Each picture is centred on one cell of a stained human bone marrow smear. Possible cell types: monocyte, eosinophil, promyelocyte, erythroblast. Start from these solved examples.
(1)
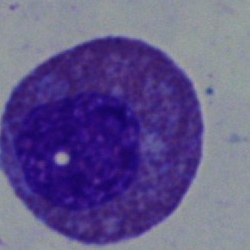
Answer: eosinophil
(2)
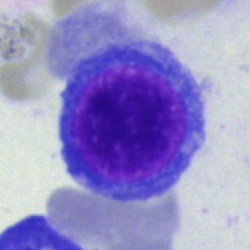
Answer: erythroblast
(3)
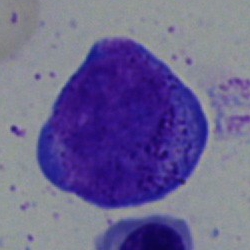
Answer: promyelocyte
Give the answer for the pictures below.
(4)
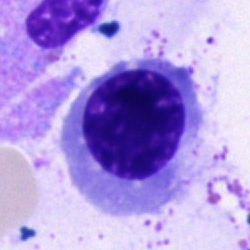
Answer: erythroblast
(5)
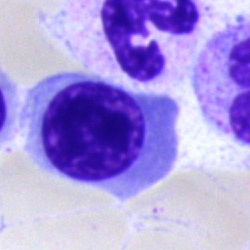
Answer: erythroblast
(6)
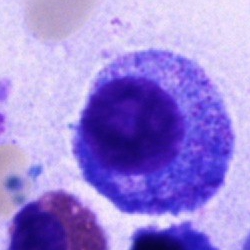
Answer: promyelocyte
